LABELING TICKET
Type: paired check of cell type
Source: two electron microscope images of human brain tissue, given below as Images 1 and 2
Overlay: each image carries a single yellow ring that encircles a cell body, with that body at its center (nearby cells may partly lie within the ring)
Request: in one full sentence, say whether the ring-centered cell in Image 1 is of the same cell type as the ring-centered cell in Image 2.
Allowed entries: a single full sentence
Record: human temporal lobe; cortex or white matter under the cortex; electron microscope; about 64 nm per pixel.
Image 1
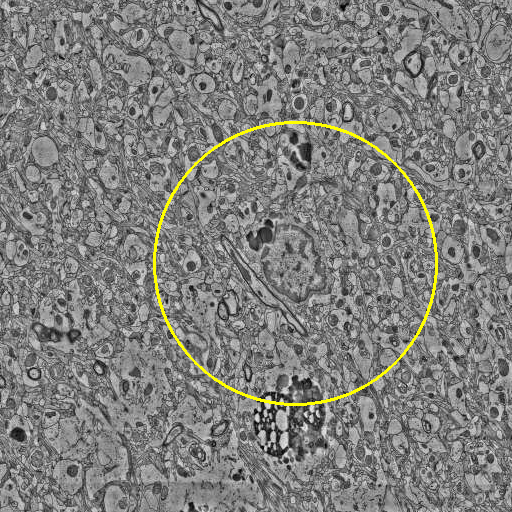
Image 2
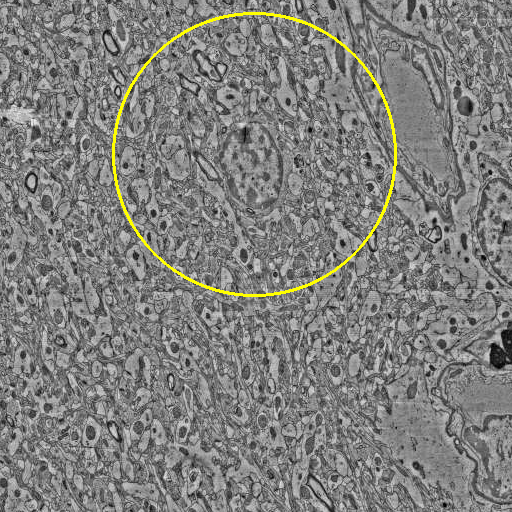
Yes, the cells centered in the rings of Image 1 and Image 2 share one type.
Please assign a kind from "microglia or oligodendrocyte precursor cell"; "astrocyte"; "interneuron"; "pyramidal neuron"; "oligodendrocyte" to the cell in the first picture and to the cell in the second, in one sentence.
The first and the second cell are each an oligodendrocyte.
